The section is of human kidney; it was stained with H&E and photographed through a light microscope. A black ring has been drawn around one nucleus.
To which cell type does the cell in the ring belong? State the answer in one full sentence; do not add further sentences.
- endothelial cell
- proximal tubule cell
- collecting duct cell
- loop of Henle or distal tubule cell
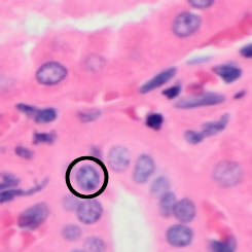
Students should answer that the cell in the ring is a collecting duct cell.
